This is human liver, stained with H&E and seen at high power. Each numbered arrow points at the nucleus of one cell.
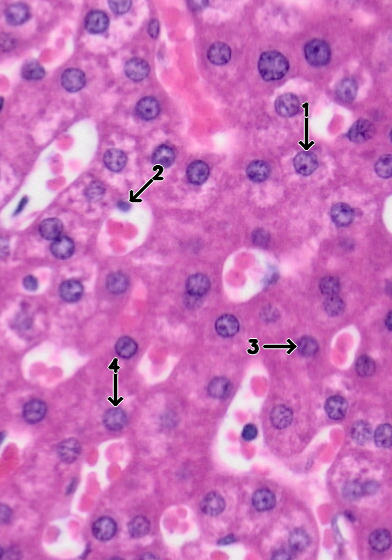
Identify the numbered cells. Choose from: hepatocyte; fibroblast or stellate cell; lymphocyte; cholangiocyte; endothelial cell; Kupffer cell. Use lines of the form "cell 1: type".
cell 1: hepatocyte
cell 2: lymphocyte
cell 3: hepatocyte
cell 4: hepatocyte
